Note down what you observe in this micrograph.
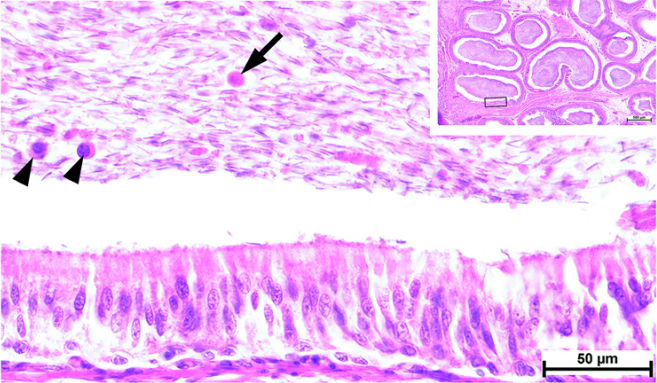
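A cross-section of the epididymal duct shows a tall columnar epithelial lining with elongated oval purple nuclei at varying heights and a pink apical border facing the lumen. The lumen above is filled with many slender purple spermatozoa lying in streams, with a few round cells with dark nuclei and small pink round bodies among them. A thin layer of pink connective tissue with flattened nuclei lies beneath the epithelium.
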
